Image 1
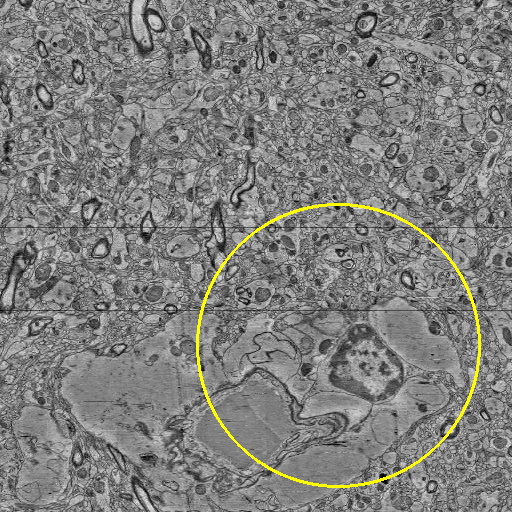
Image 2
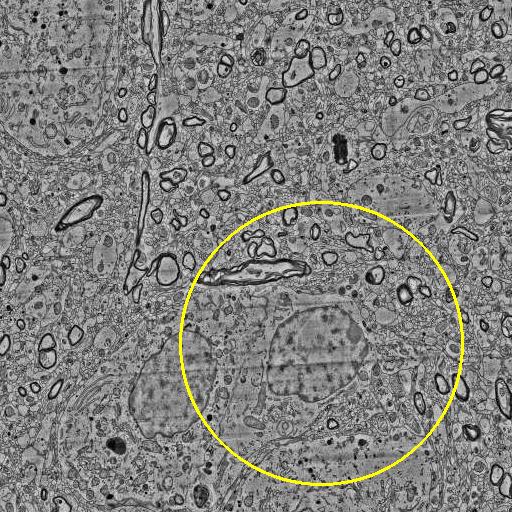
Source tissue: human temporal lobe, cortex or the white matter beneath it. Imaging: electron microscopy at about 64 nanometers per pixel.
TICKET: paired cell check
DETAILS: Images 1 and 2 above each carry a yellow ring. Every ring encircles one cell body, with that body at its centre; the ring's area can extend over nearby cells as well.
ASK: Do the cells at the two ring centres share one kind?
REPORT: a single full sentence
Yes, the ring-centre cells of Images 1 and 2 belong to a single kind.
